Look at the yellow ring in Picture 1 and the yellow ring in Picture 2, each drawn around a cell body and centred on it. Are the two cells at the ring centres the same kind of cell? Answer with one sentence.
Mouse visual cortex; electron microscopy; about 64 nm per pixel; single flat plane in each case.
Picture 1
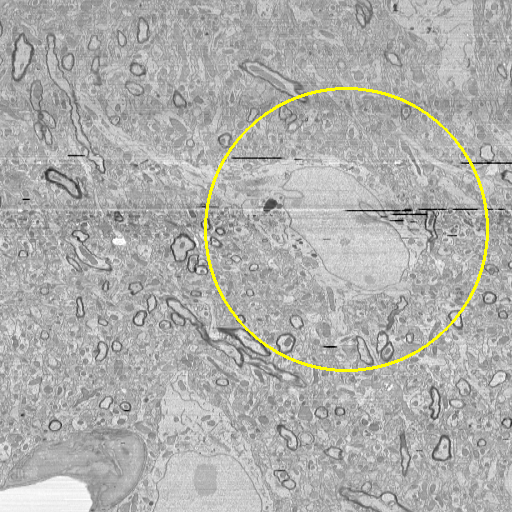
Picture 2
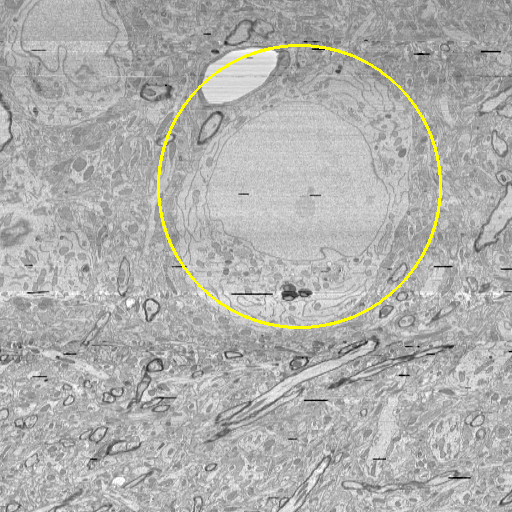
Yes, both are the same kind of cell.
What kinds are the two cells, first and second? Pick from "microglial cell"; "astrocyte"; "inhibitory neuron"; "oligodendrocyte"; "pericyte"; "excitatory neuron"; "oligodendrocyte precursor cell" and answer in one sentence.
In each of the two pictures, the ringed cell is an excitatory neuron.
